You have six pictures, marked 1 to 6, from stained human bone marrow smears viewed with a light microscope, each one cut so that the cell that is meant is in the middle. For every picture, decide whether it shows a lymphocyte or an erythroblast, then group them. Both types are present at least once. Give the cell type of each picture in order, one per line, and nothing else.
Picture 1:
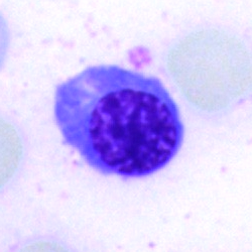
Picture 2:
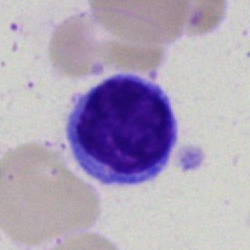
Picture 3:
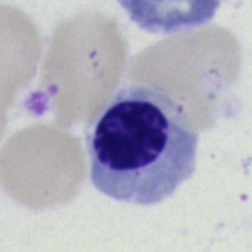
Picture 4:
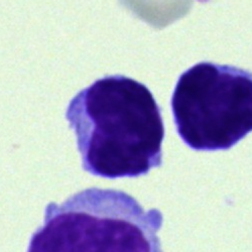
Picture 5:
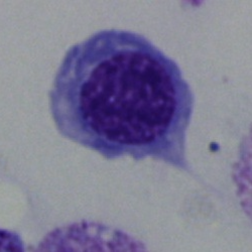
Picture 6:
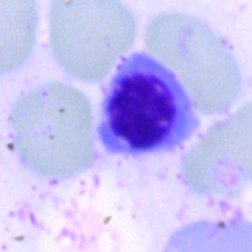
erythroblast
lymphocyte
erythroblast
lymphocyte
erythroblast
erythroblast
